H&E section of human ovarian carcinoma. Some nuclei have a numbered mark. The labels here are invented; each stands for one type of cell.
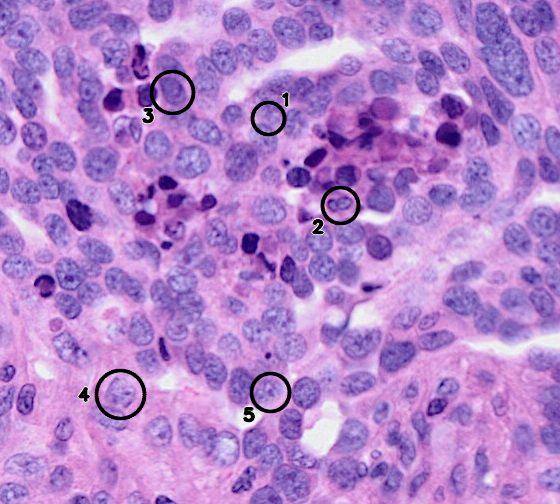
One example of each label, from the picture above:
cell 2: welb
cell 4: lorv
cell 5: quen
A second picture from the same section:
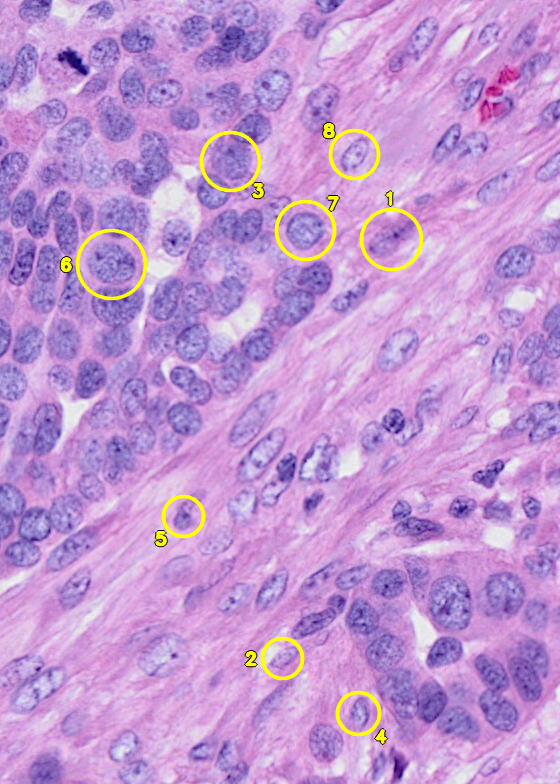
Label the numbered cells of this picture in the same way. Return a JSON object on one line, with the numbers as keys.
{"1": "lorv", "2": "lorv", "3": "quen", "4": "lorv", "5": "welb", "6": "quen", "7": "quen", "8": "lorv"}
